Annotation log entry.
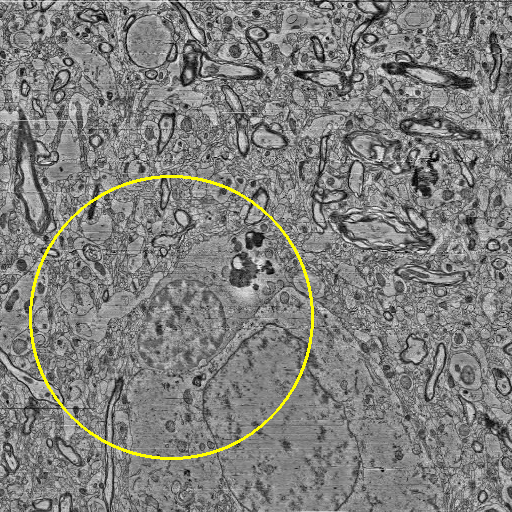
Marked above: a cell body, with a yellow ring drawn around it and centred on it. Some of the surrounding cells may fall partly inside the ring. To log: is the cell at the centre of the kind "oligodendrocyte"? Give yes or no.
Yes, the cell at the centre is of that kind.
